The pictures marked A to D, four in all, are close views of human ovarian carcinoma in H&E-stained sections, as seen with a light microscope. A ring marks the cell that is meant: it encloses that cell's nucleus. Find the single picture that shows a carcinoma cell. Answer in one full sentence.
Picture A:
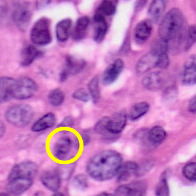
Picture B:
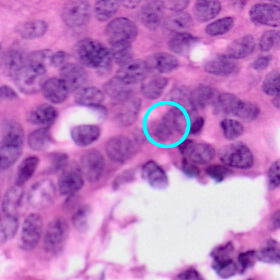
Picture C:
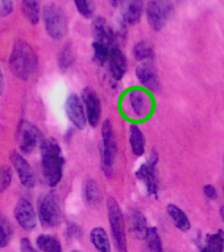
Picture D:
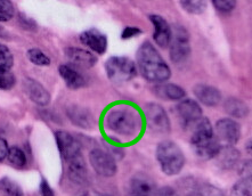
Picture B shows the carcinoma cell.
